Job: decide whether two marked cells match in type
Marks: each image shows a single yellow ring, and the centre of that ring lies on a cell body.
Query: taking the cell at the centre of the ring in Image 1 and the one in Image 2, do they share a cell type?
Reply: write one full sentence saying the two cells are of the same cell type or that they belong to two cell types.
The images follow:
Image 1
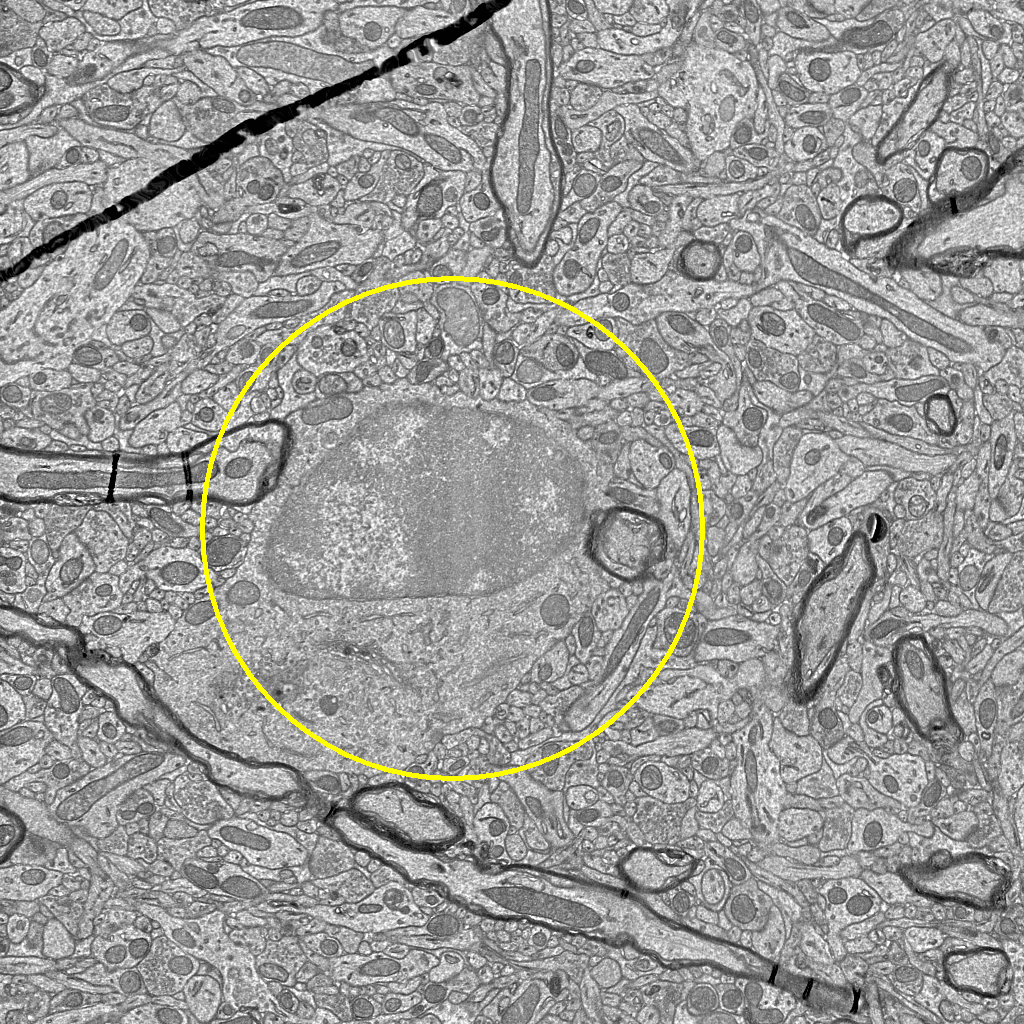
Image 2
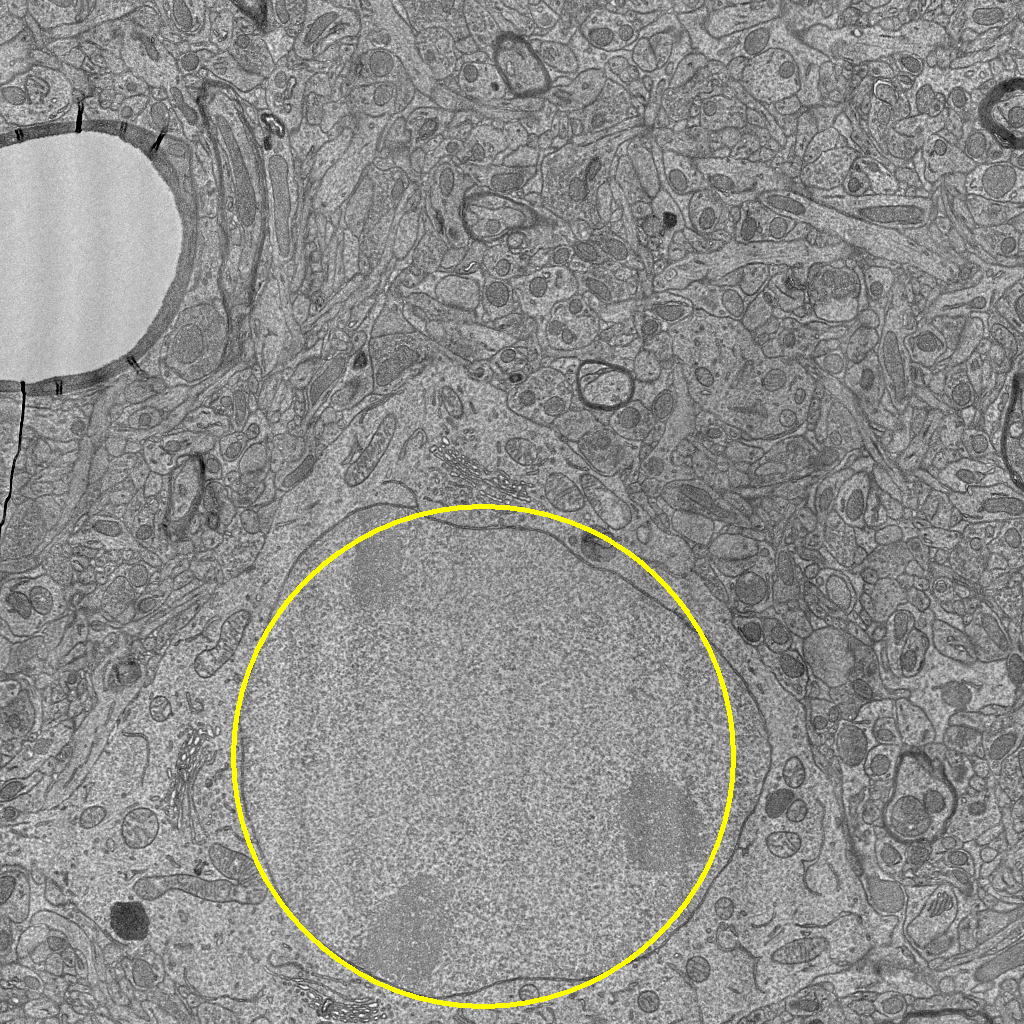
The cells at the ring centres in Image 1 and Image 2 belong to two cell types.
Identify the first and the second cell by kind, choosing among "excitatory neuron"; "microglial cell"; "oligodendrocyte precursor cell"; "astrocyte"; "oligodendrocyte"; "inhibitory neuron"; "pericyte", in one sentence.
The ring in the first picture surrounds an oligodendrocyte, and the ring in the second surrounds an excitatory neuron.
